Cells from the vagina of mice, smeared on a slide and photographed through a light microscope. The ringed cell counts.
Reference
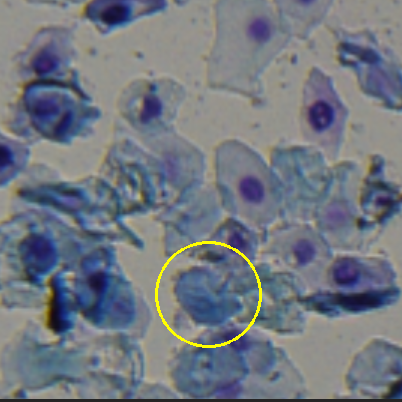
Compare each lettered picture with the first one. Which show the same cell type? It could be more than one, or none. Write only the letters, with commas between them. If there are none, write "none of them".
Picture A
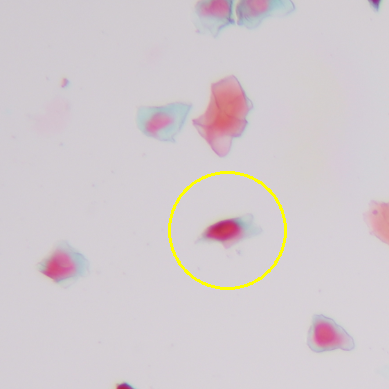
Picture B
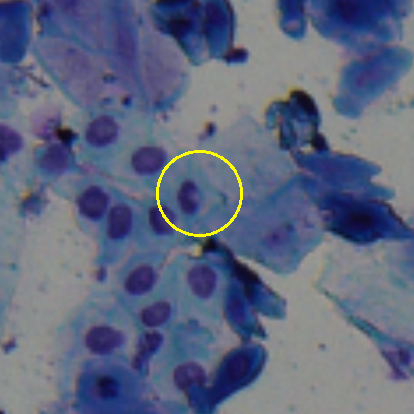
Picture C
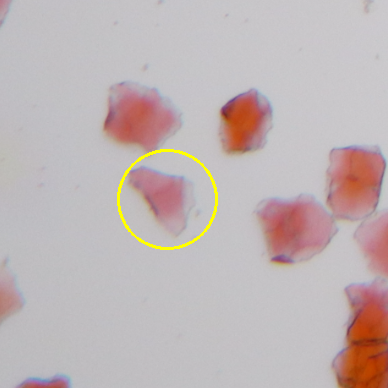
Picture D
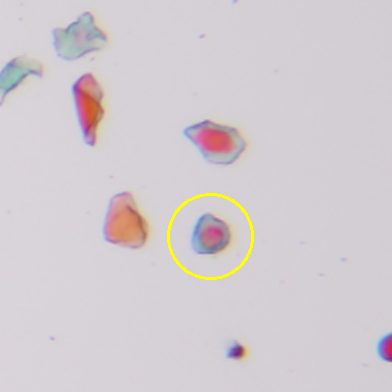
C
